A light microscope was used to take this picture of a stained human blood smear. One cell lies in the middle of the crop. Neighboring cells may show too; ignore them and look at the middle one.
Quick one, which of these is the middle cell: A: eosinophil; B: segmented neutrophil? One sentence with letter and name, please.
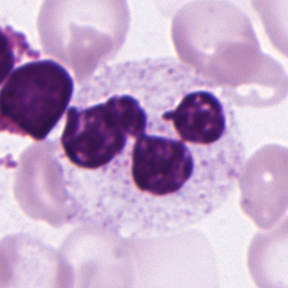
The correct option here is B; the middle cell is a segmented neutrophil.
